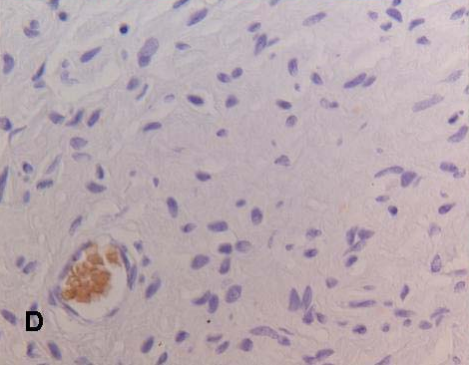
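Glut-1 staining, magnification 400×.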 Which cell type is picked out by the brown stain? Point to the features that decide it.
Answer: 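A small round vessel lumen holds a cluster of brown-stained bodies. The brown bodies are small, round and lack blue nuclei. The surrounding spindle cells are unstained with blue nuclei only.
Hence: erythrocytes.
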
